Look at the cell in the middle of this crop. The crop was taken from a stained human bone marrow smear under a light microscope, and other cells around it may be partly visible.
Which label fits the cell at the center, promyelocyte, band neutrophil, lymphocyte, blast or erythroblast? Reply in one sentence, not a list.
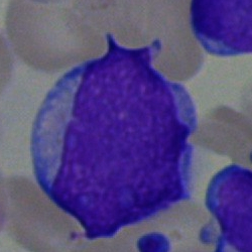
The cell nearest the centre of this crop is a blast.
